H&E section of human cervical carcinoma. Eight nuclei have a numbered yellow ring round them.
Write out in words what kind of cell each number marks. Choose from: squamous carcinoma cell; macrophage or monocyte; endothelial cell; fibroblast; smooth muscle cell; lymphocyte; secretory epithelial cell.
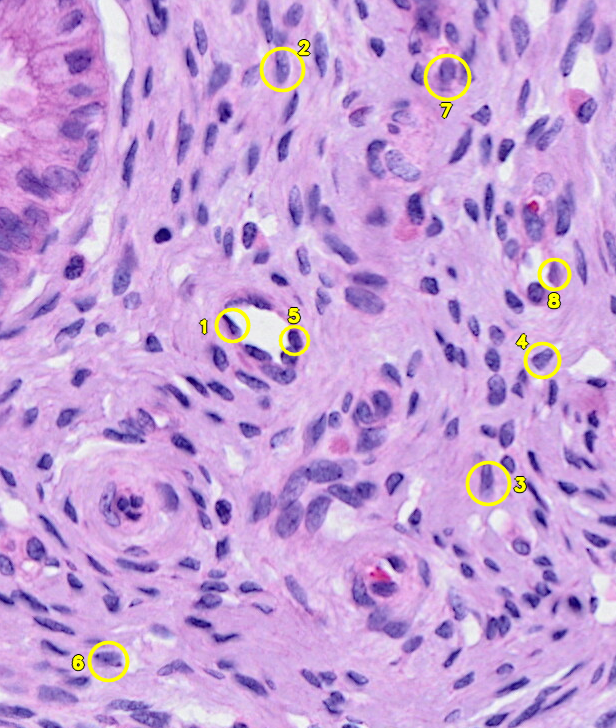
Cells 1, 5, 7 and 8 are endothelial cells. Cells 2, 3, 4 and 6 are fibroblasts.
